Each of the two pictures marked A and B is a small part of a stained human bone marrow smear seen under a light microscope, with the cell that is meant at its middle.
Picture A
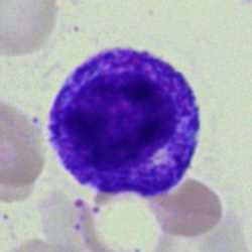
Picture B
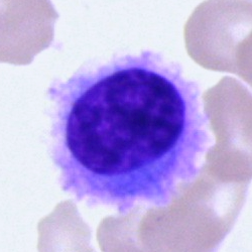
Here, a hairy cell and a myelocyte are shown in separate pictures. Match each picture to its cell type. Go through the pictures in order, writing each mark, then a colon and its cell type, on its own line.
A: myelocyte
B: hairy cell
